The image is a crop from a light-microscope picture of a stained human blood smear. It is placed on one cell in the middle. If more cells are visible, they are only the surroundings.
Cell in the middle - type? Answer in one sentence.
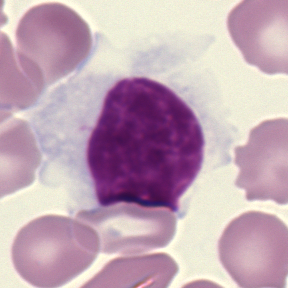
The target cell in the middle of the crop is a hairy cell.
